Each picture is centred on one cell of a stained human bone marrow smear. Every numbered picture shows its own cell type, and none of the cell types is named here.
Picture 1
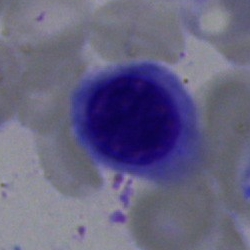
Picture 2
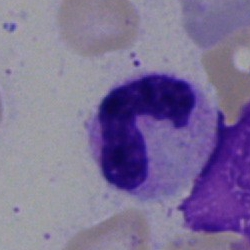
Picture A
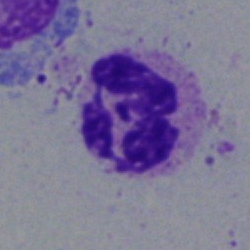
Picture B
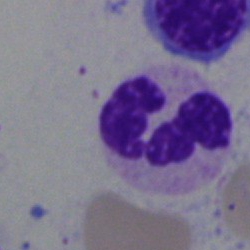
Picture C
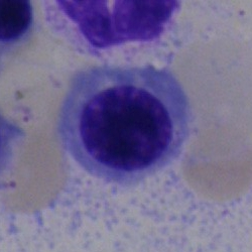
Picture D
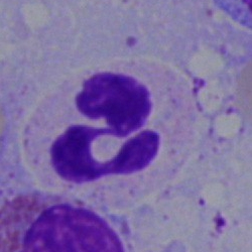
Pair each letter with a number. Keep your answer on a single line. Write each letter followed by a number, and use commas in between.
A 2, B 2, C 1, D 2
